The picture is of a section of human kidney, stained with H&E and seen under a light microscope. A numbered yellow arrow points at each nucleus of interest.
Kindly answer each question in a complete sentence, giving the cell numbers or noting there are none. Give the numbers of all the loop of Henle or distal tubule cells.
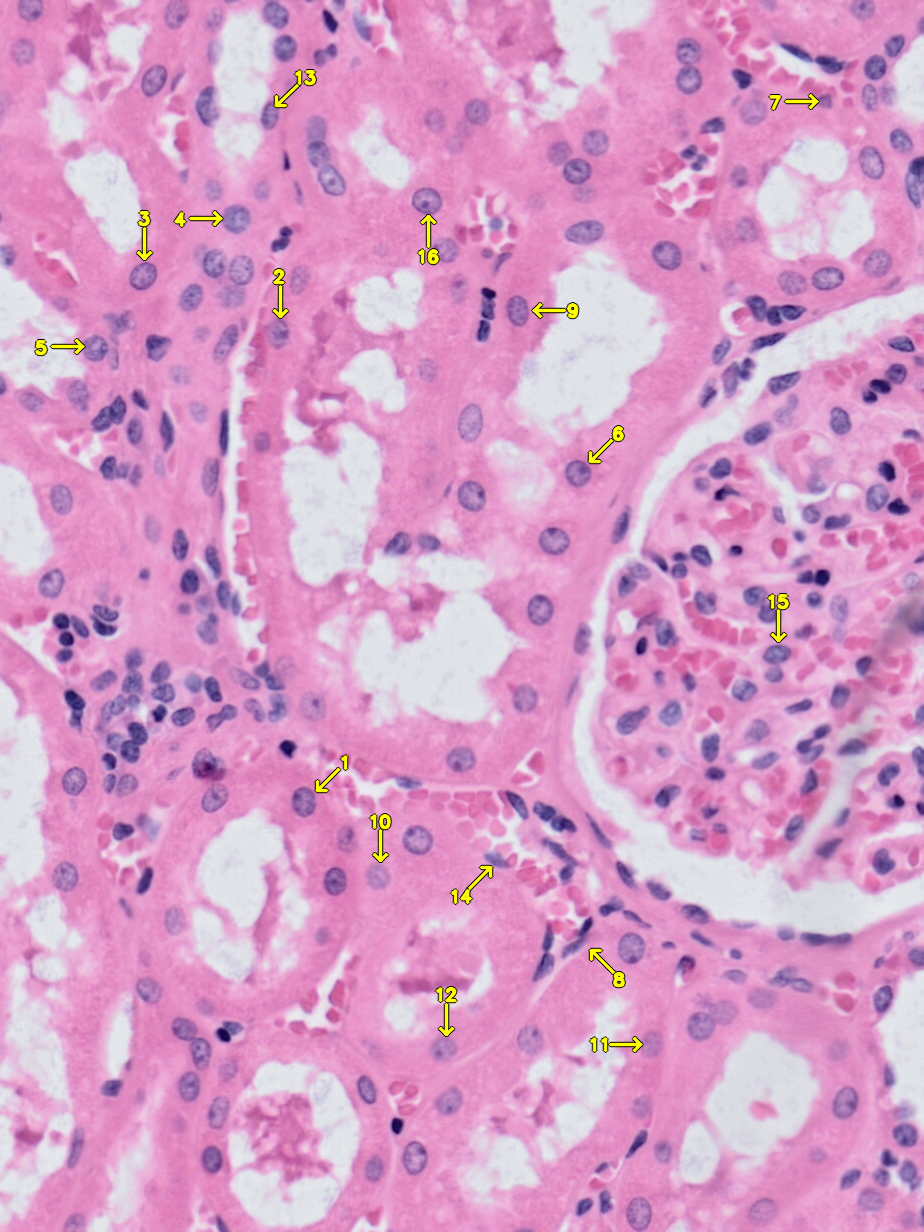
The numbers 4, 5 and 13 refer to cells that are loop of Henle or distal tubule cells.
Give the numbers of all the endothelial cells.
Cells 7, 8, 14 and 15 are endothelial cells by cell type.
